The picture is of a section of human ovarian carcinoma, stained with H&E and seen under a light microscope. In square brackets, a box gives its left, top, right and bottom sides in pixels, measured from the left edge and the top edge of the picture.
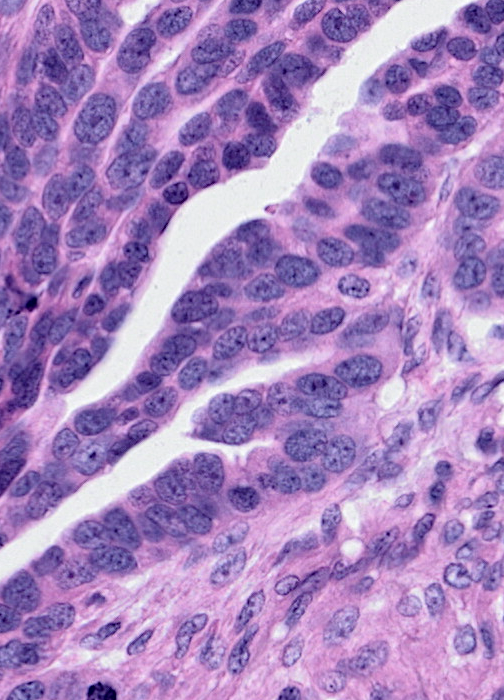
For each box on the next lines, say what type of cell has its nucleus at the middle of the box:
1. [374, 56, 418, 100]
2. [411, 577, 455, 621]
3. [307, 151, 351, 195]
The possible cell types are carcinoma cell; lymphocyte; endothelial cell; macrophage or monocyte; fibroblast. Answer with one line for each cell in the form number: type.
1: carcinoma cell
2: fibroblast
3: carcinoma cell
